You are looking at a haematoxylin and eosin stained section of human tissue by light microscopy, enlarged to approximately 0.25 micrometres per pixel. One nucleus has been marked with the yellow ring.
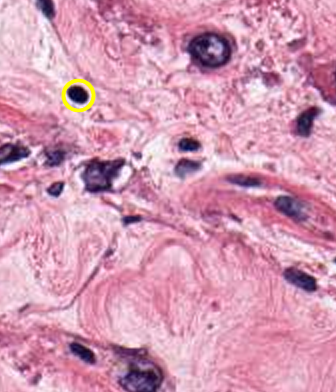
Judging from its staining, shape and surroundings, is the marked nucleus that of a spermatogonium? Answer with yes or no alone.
no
